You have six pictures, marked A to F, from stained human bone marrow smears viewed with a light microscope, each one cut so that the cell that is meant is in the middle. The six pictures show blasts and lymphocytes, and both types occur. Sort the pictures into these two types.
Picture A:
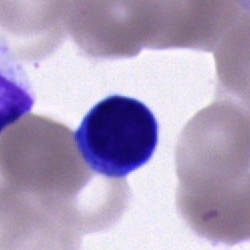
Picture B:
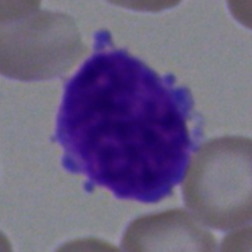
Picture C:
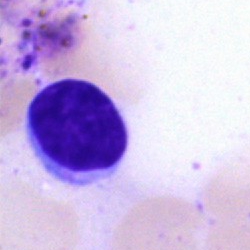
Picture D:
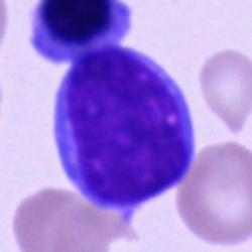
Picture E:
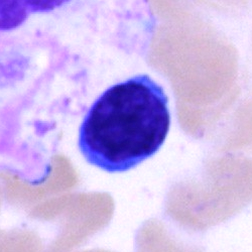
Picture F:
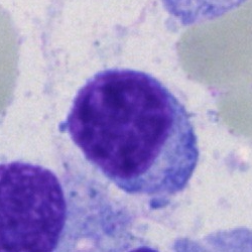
A: lymphocyte
B: blast
C: lymphocyte
D: blast
E: lymphocyte
F: lymphocyte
